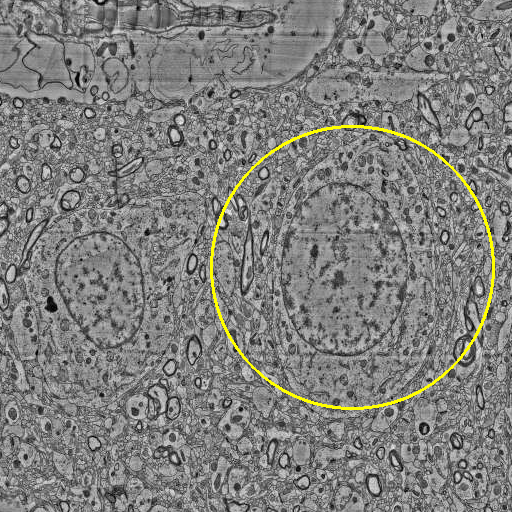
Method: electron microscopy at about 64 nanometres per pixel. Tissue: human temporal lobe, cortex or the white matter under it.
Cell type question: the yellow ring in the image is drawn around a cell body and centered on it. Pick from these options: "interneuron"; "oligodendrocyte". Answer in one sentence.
The ringed cell at the center is an interneuron.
